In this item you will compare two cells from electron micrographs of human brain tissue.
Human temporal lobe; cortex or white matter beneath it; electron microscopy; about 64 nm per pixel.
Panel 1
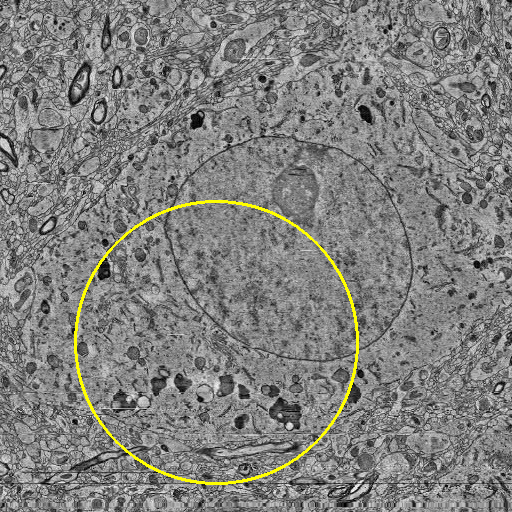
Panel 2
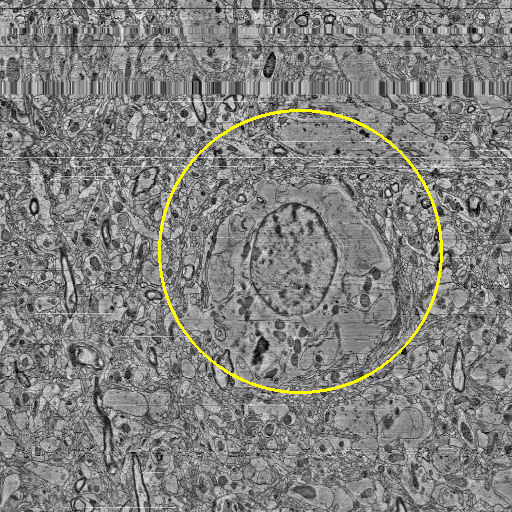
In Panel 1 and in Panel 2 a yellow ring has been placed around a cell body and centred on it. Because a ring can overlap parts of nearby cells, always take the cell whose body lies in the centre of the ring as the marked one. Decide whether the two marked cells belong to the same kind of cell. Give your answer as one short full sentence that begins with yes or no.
No, the two marked cells belong to two kinds of cell.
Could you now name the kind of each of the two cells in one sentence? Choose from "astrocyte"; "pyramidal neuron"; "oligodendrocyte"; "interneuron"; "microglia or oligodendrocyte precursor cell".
The first ring encloses a pyramidal neuron; the second ring encloses an astrocyte.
